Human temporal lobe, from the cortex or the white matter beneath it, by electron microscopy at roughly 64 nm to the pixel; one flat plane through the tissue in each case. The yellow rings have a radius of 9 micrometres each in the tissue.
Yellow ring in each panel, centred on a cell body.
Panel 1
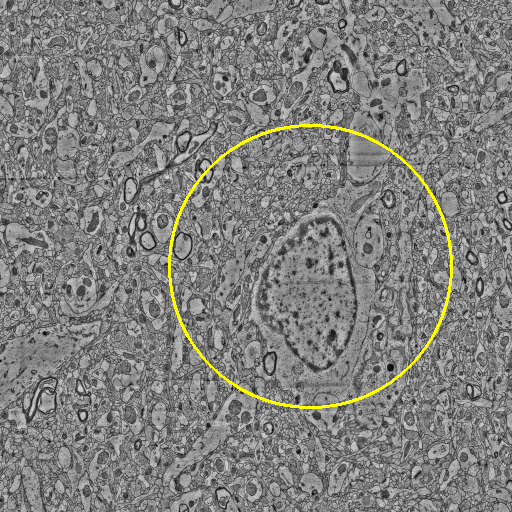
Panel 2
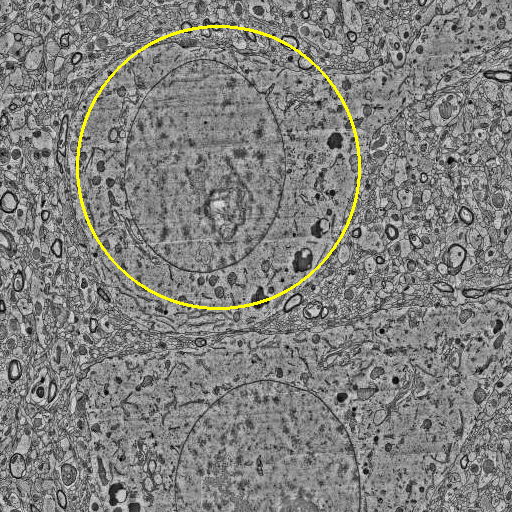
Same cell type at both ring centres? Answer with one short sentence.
No, the two cells are of two types.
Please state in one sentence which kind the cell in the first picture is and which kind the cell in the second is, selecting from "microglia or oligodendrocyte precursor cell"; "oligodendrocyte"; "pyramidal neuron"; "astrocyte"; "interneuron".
The first ringed cell is an astrocyte, the second ringed cell a pyramidal neuron.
